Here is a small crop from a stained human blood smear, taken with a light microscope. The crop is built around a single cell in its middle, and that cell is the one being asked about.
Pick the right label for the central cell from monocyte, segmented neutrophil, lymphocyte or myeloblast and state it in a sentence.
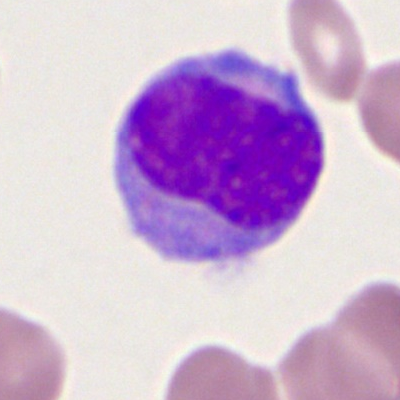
The cell occupying the middle of the crop is a monocyte.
